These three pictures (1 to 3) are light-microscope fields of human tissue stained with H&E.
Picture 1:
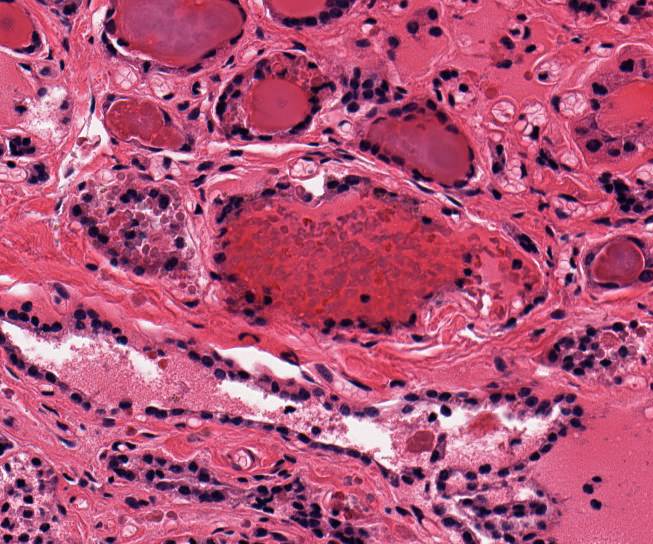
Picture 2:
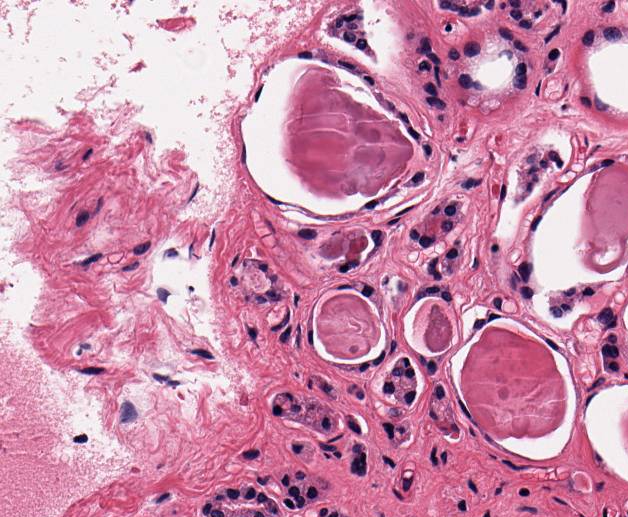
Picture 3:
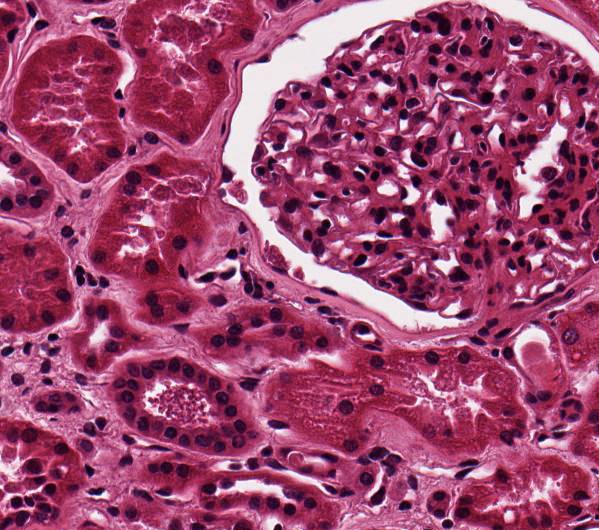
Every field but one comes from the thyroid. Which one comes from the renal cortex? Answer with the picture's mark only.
3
